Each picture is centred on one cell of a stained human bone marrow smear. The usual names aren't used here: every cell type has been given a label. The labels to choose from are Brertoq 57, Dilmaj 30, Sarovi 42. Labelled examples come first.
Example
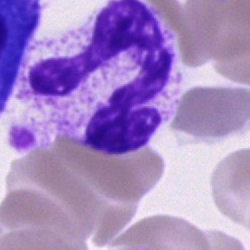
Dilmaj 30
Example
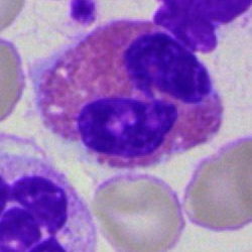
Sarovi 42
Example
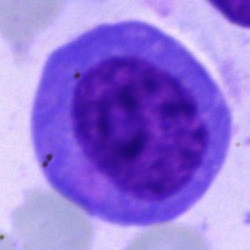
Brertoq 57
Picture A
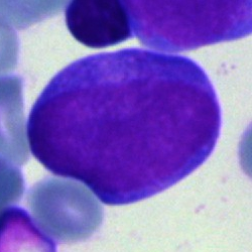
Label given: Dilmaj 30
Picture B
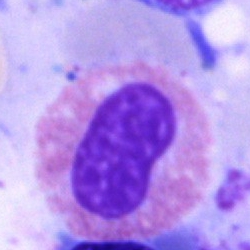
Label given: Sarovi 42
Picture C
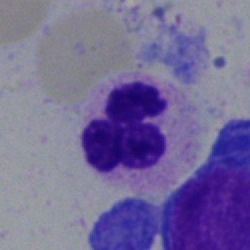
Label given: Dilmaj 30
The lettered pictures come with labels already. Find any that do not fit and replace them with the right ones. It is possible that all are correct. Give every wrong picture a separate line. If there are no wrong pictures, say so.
A is labelled Dilmaj 30; correct label: Brertoq 57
